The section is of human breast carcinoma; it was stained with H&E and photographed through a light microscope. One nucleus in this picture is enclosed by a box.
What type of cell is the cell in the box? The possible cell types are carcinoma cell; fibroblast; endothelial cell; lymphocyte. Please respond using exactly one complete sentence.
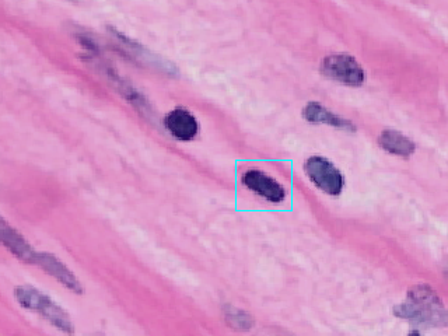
In the context of this tissue, the cell in the box is a lymphocyte.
